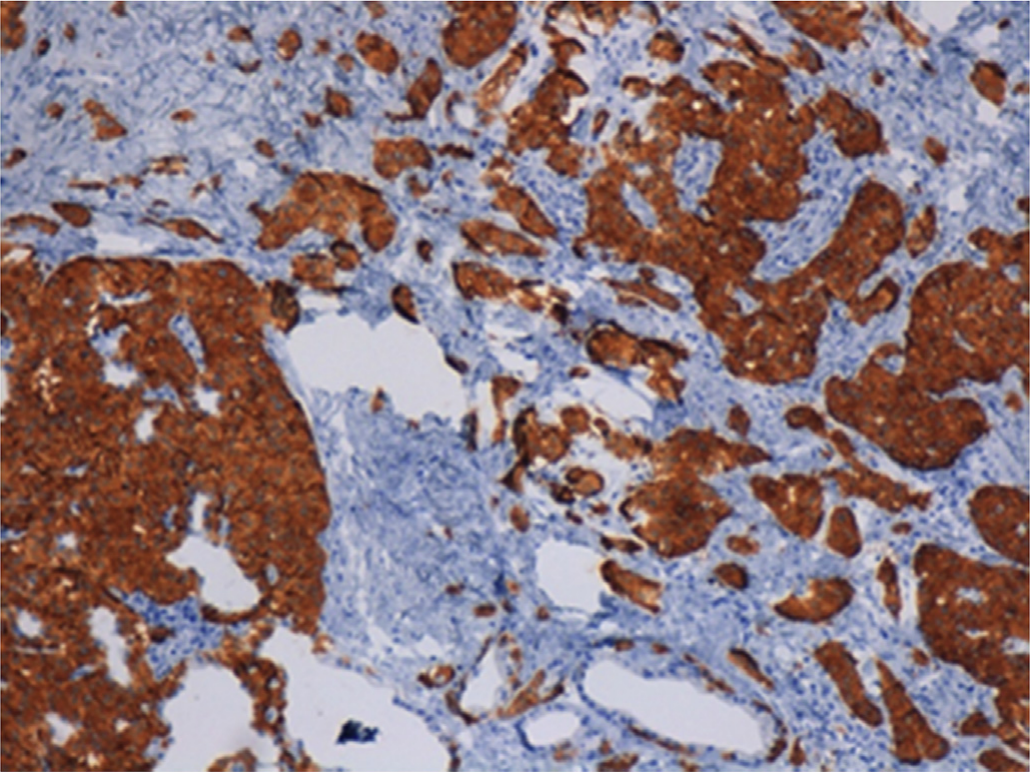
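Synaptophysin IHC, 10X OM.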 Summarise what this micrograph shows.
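Section of a well differentiated neuroendocrine tumor in which tumor cells form solid nests, anastomosing trabeculae and small islands. The tumor cells show strong, diffuse brown cytoplasmic staining that fills the nests almost uniformly. The nests are separated by pale blue fibrous stroma with scattered small, dark blue spindle-shaped nuclei, and this stroma stays unstained. Empty, rounded or slit-like spaces, some lined by stained cells, lie between the nests. Larger confluent sheets of stained tumor sit at the left and upper right, with smaller scattered cords and clusters in between.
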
